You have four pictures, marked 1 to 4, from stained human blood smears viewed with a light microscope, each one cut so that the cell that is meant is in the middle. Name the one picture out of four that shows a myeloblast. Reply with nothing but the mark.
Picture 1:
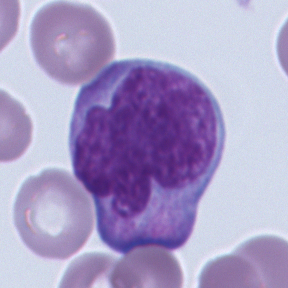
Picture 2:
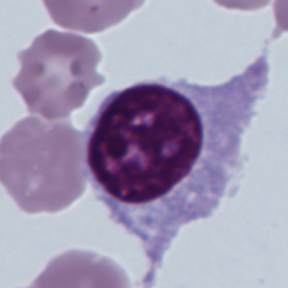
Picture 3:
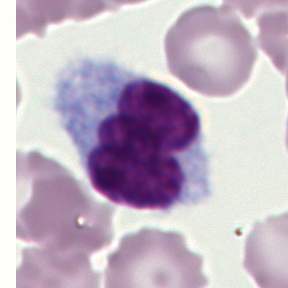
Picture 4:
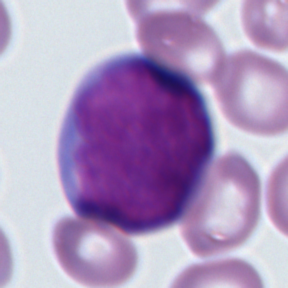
4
